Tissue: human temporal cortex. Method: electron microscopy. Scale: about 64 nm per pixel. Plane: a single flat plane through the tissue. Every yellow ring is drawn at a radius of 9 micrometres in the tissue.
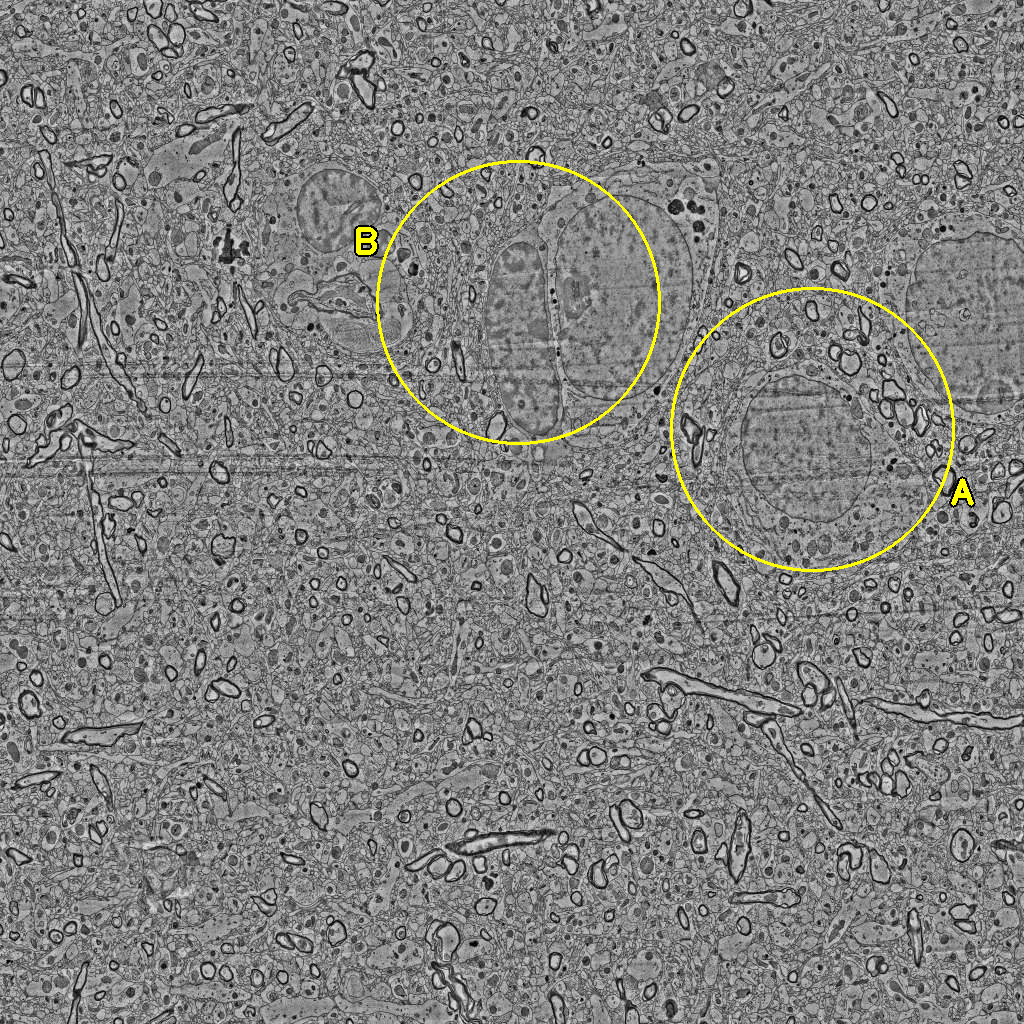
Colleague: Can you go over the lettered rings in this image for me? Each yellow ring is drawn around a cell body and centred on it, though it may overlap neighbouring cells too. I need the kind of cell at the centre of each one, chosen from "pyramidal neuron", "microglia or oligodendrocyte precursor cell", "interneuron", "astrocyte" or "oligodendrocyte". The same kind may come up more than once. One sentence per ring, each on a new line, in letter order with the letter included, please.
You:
Ring A marks the cell body of a pyramidal neuron.
Ring B marks the cell body of an oligodendrocyte.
